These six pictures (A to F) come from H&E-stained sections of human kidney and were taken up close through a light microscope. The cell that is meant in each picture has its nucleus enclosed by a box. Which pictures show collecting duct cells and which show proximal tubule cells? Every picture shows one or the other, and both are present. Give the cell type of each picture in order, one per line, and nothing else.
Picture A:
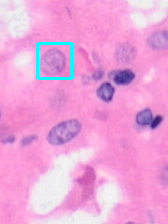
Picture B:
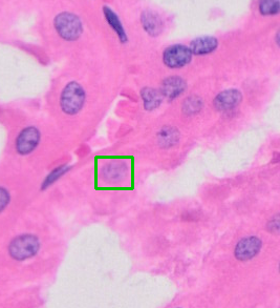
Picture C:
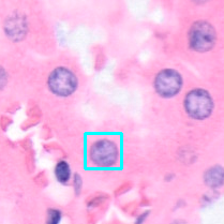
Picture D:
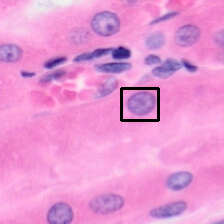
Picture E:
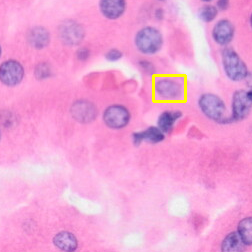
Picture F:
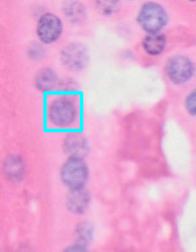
proximal tubule cell
proximal tubule cell
proximal tubule cell
proximal tubule cell
collecting duct cell
collecting duct cell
